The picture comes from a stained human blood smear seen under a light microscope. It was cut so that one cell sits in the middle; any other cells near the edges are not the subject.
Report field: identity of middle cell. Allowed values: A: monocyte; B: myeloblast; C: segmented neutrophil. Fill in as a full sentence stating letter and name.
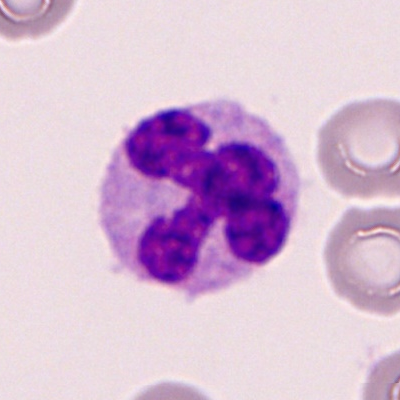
The cell in the middle is correctly identified as a monocyte in option A.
